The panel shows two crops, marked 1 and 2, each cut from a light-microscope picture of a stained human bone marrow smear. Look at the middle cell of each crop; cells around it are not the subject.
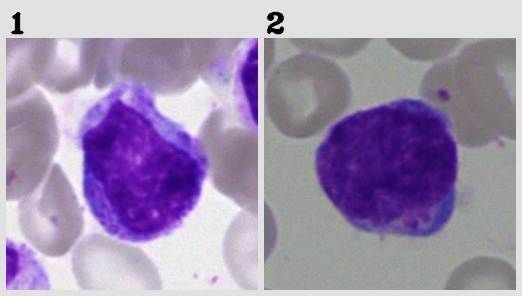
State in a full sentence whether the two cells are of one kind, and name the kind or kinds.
No, a lymphocyte is the cell in crop 1; a blast is the cell in crop 2.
